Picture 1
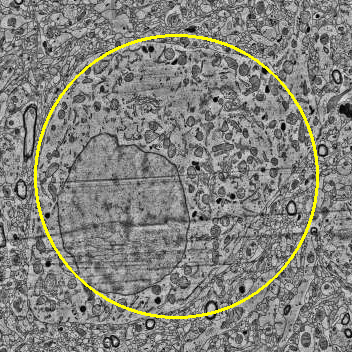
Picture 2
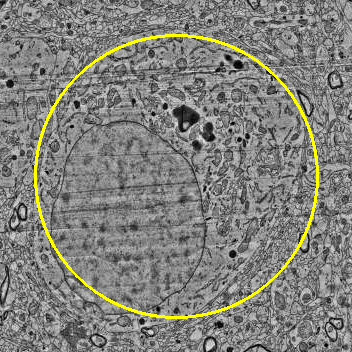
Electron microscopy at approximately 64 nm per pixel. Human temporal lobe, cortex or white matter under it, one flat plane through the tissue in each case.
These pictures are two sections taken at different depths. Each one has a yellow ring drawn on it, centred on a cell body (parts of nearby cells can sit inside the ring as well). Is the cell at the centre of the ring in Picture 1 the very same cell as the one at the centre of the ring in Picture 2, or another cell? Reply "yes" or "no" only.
yes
